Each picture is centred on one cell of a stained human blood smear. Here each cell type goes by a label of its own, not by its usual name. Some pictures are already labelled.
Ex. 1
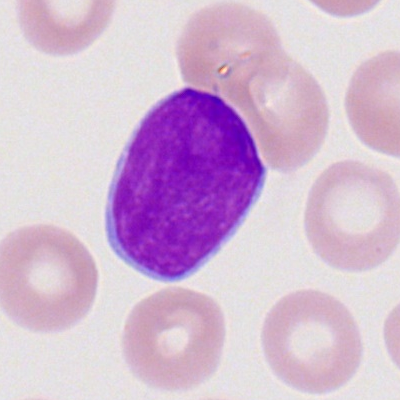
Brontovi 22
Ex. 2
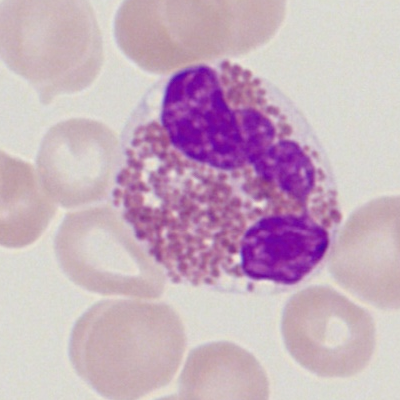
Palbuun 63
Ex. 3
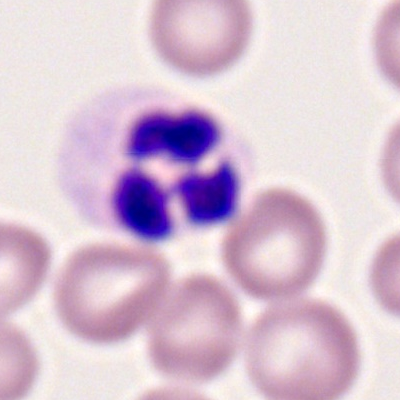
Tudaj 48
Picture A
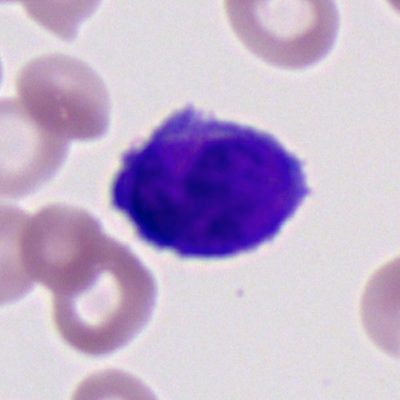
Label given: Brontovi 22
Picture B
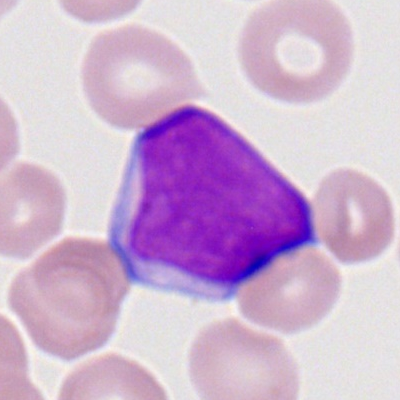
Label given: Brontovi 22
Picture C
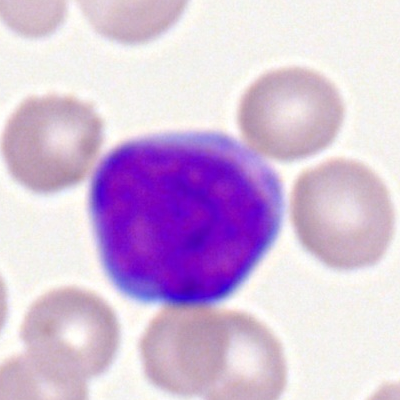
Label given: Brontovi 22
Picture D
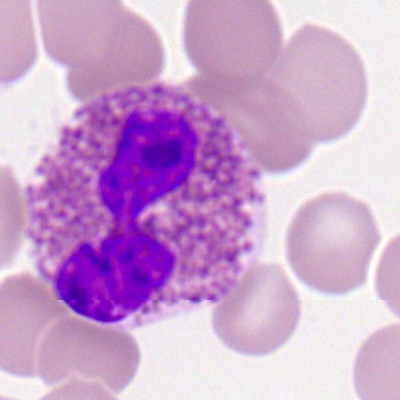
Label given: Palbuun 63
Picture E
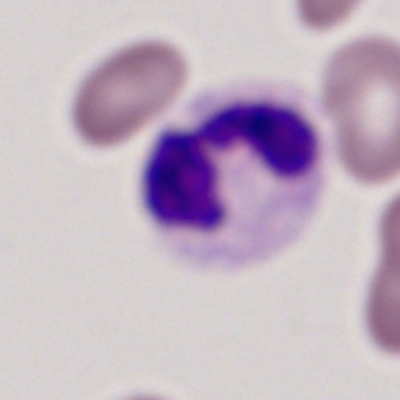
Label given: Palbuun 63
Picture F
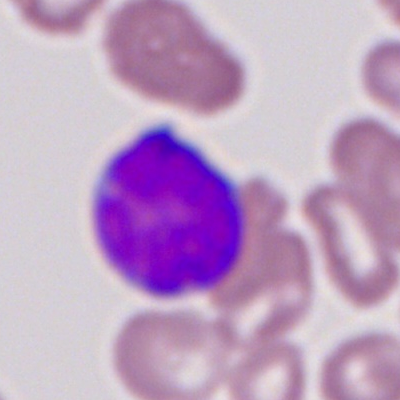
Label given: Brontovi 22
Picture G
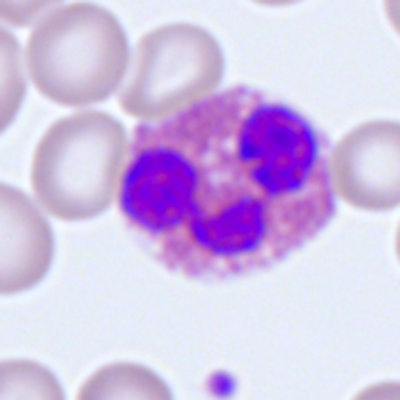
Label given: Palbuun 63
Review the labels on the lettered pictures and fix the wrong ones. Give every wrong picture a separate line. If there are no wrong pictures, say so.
E is labelled Palbuun 63; correct label: Tudaj 48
